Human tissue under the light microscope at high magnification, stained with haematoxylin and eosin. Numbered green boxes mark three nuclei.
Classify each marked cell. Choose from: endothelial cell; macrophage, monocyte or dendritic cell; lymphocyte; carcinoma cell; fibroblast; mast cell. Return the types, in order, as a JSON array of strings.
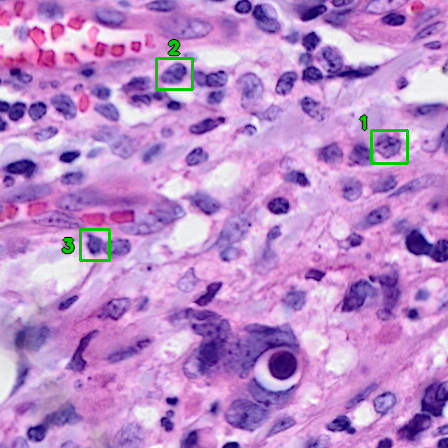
["macrophage, monocyte or dendritic cell", "lymphocyte", "lymphocyte"]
